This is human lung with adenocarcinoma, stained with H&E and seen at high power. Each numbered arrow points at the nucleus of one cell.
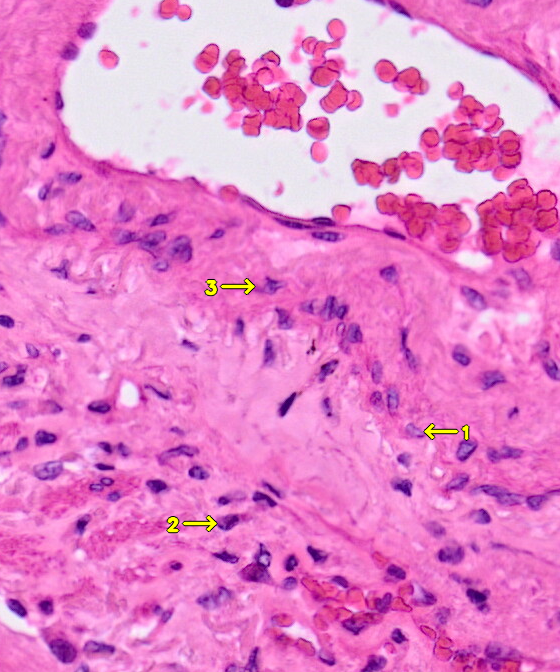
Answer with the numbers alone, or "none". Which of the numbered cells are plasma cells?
2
